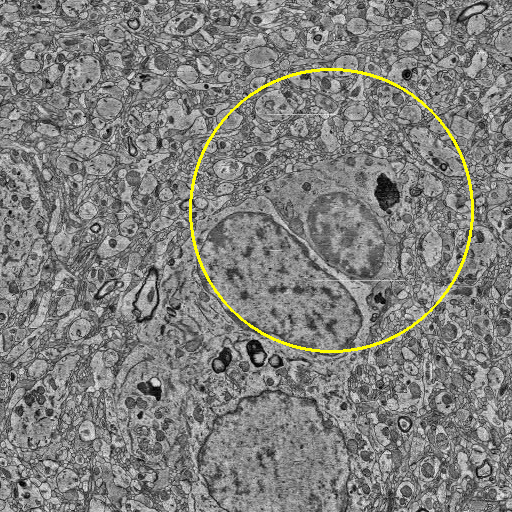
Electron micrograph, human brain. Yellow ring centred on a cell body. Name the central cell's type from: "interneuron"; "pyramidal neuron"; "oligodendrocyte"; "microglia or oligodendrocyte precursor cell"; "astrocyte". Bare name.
oligodendrocyte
